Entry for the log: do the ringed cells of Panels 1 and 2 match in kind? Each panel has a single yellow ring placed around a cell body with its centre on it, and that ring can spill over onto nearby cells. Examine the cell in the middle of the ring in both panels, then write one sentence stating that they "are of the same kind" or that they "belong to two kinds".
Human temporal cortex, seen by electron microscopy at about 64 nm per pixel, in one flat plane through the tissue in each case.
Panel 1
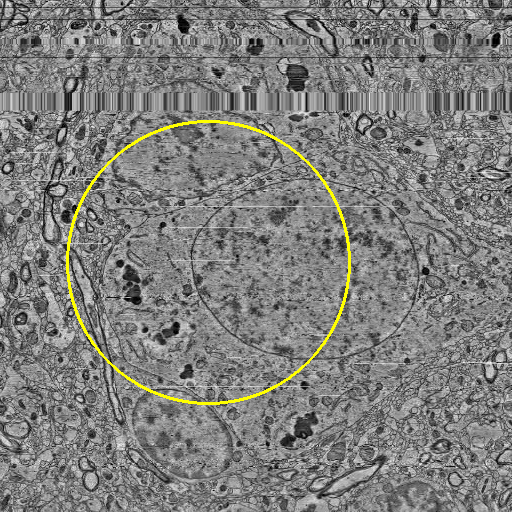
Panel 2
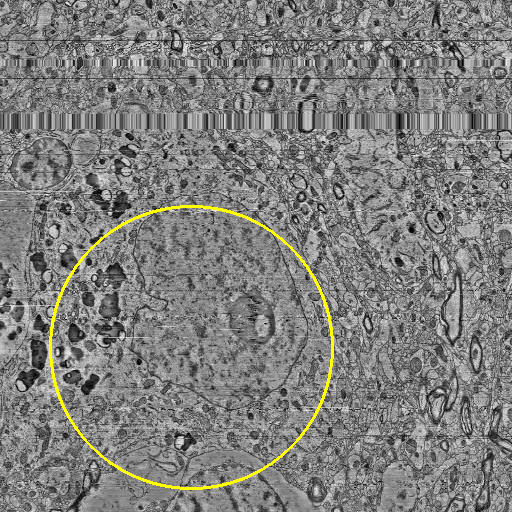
The centre cell of Panel 1's ring and that of Panel 2's ring are of the same kind.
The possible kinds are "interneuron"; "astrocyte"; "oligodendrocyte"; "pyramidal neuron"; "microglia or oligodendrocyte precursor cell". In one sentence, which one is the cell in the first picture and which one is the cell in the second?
Each of the two pictures has a pyramidal neuron at the ring centre.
